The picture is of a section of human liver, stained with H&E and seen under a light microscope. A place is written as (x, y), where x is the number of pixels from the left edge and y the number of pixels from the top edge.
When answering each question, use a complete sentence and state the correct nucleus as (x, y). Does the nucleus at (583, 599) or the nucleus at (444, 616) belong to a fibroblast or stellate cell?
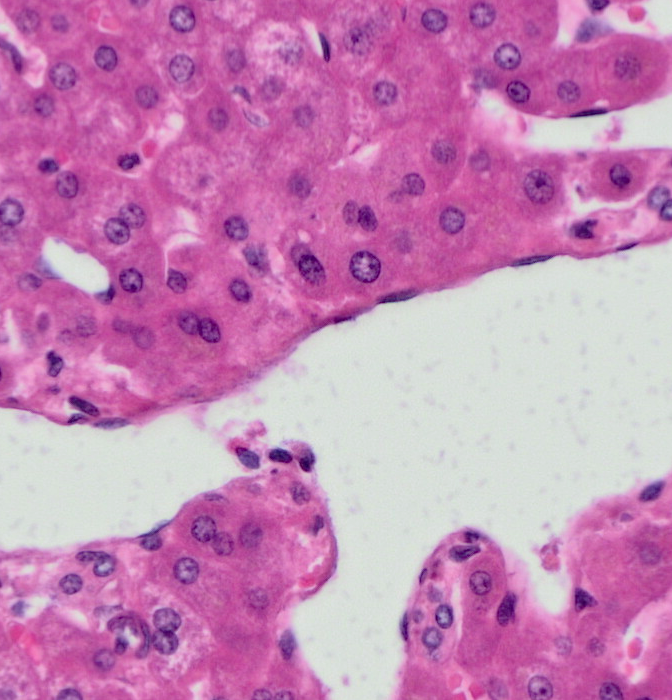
The nucleus whose cell is a fibroblast or stellate cell is the one at (583, 599).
